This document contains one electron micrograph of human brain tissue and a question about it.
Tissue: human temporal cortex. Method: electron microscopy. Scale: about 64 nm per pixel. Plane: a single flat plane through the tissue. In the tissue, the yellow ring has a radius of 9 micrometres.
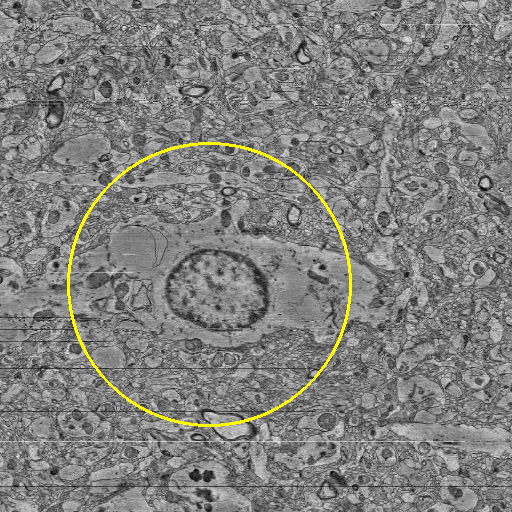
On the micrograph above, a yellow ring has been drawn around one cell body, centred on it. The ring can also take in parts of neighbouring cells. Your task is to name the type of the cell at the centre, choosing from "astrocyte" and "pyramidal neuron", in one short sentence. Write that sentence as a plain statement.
Here the ring is centred on an astrocyte.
